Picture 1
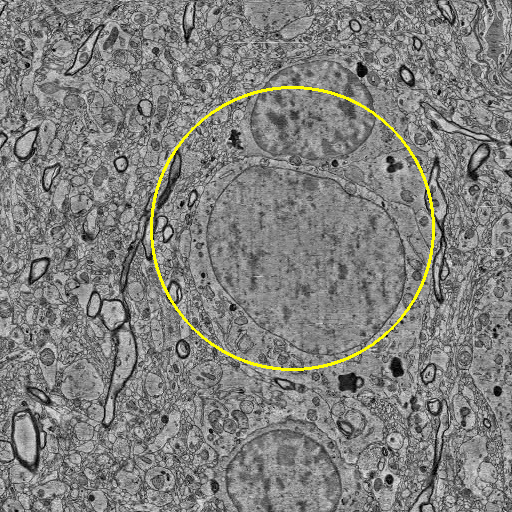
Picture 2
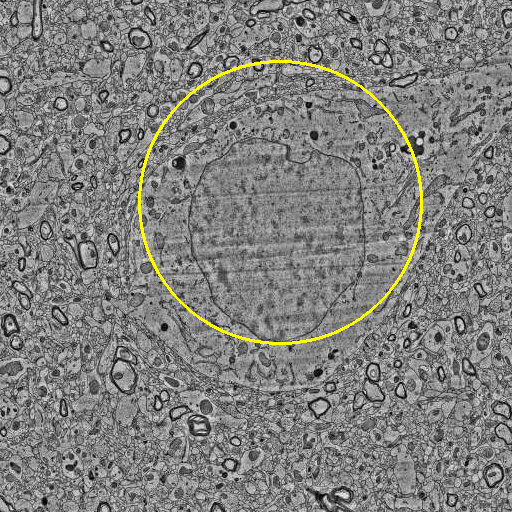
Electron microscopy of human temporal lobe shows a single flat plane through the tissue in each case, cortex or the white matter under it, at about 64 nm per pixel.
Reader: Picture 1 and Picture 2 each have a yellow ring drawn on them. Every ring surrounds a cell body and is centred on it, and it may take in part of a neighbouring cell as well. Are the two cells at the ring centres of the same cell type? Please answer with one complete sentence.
Yes, both cells are of the same cell type.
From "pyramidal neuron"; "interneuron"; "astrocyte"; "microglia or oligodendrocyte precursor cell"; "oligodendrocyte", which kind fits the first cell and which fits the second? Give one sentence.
Each cell, in the first picture and the second, is a pyramidal neuron.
